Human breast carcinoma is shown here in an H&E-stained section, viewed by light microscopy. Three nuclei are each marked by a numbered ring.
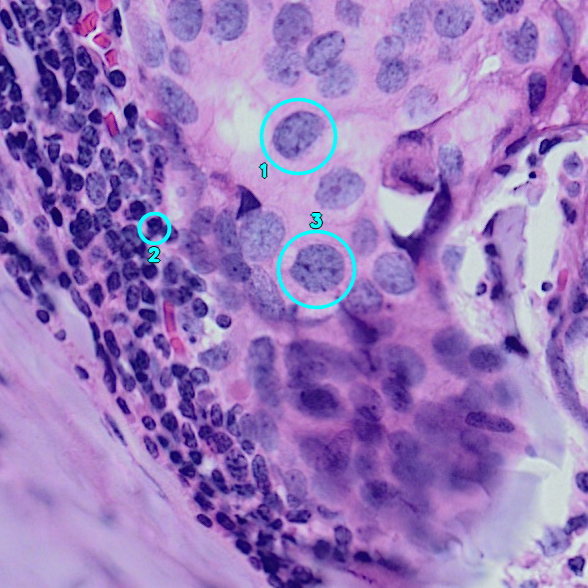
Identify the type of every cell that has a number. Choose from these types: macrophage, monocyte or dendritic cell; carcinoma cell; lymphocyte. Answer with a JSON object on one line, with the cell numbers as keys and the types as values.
{"1": "carcinoma cell", "2": "lymphocyte", "3": "carcinoma cell"}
